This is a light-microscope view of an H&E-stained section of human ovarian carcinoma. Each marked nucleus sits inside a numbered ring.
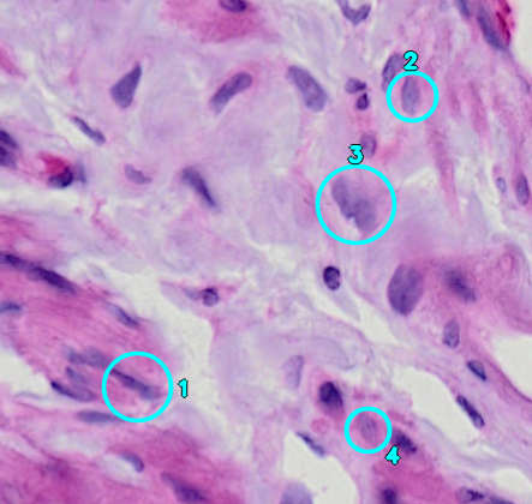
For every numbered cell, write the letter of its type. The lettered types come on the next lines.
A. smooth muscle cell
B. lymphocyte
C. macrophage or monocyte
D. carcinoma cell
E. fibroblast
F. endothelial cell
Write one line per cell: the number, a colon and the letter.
1: A
2: A
3: E
4: A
